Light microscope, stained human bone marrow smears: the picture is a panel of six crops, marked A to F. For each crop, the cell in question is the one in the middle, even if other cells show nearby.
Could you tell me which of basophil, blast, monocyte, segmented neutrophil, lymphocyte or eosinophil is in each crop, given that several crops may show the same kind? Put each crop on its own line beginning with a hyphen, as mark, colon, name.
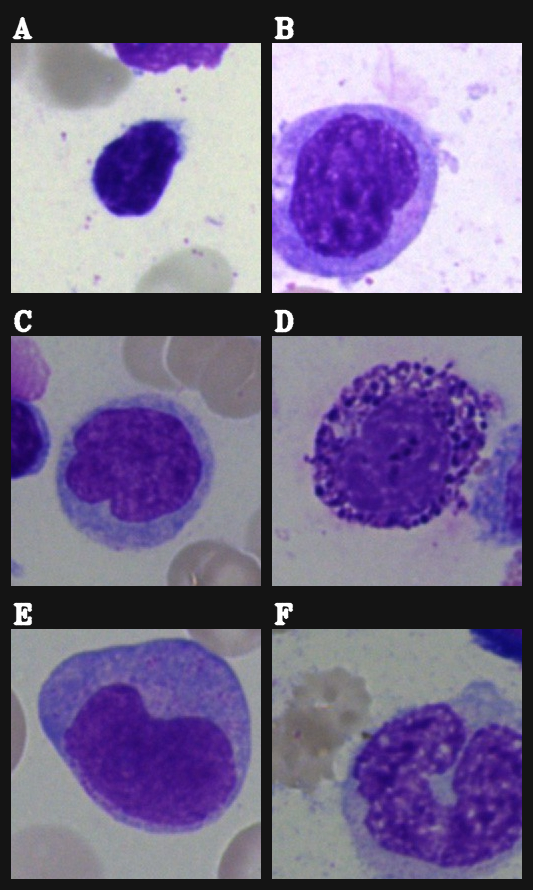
- A: lymphocyte
- B: monocyte
- C: monocyte
- D: basophil
- E: monocyte
- F: monocyte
